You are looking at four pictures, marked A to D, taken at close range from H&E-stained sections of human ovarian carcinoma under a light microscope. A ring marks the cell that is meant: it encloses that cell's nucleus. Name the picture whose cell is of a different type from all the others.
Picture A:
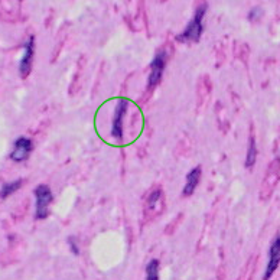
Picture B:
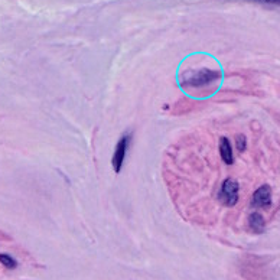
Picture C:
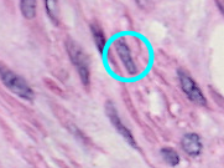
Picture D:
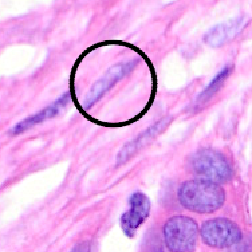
B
